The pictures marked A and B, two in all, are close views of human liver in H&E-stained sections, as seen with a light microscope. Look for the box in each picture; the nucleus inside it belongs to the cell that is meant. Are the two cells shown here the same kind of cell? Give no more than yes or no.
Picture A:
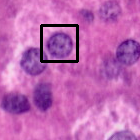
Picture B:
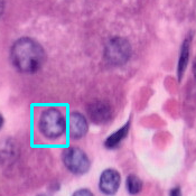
no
